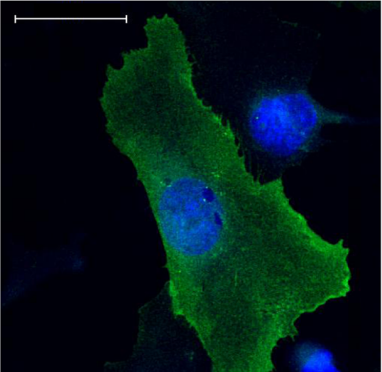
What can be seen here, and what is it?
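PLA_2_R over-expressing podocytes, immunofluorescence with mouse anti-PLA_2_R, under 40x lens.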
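The cell has an angular outline with several broad extensions and jagged edges. Its oval nucleus, shown in blue, lies toward one side of the cell body and contains a few darker spots.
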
